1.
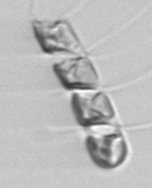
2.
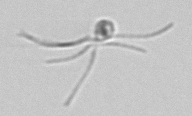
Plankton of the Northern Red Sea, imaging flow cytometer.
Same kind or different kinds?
Different: the first is Chaetoceros, the second Ophiaster.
